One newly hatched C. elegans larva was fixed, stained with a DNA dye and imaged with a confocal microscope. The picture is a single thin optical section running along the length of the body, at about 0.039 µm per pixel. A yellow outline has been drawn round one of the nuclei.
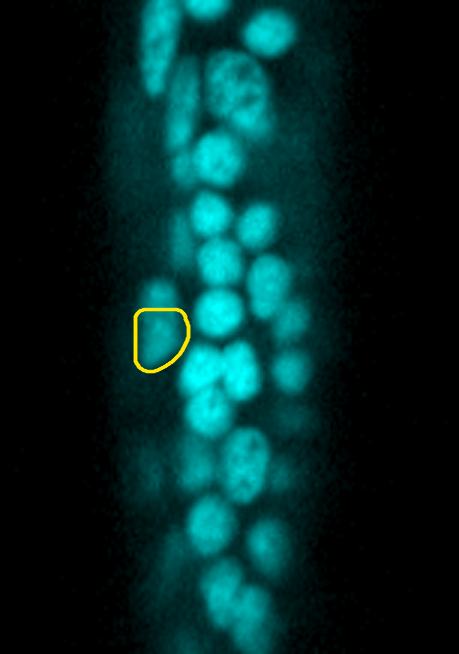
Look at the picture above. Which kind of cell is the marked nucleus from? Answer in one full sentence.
The nucleus comes from a body wall muscle cell.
